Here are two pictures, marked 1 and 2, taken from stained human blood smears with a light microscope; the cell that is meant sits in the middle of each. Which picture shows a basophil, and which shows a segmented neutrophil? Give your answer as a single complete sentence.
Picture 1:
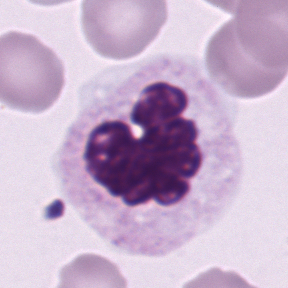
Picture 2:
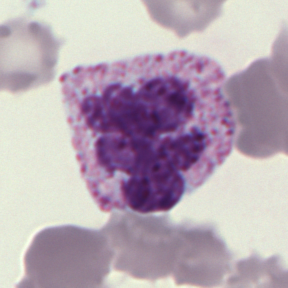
Picture 2 shows a basophil, while picture 1 shows a segmented neutrophil.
